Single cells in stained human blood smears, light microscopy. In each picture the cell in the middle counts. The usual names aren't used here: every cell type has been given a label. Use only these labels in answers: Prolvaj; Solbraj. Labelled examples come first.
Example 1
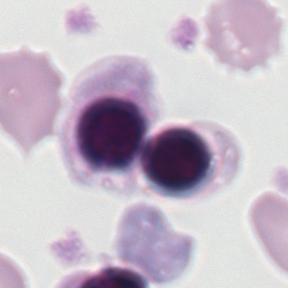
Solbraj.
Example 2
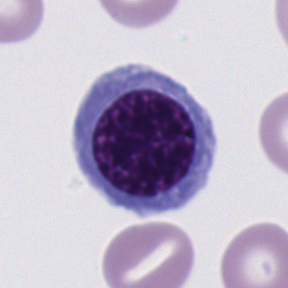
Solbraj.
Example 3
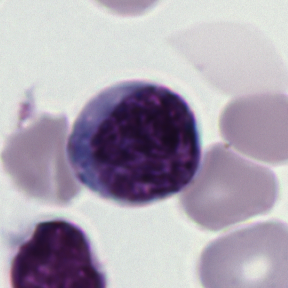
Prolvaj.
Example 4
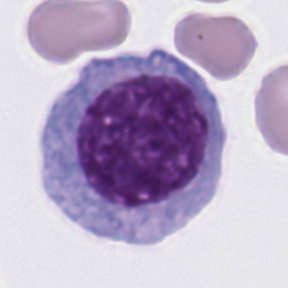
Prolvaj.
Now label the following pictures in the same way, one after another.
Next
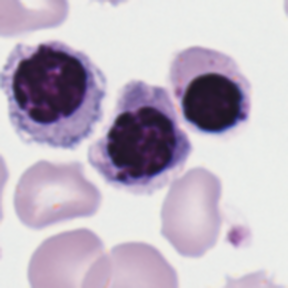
Solbraj.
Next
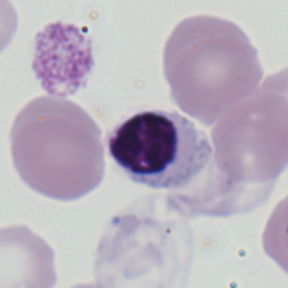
Solbraj.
